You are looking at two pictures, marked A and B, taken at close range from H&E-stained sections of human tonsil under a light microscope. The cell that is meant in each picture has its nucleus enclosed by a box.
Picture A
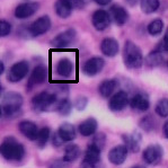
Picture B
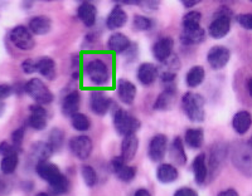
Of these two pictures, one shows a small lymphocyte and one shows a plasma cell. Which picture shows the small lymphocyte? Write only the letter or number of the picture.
A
